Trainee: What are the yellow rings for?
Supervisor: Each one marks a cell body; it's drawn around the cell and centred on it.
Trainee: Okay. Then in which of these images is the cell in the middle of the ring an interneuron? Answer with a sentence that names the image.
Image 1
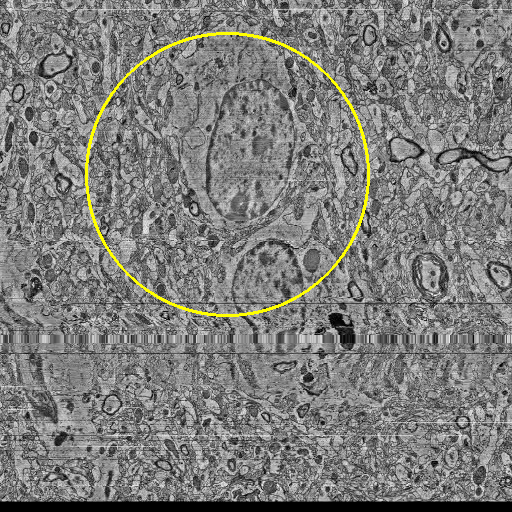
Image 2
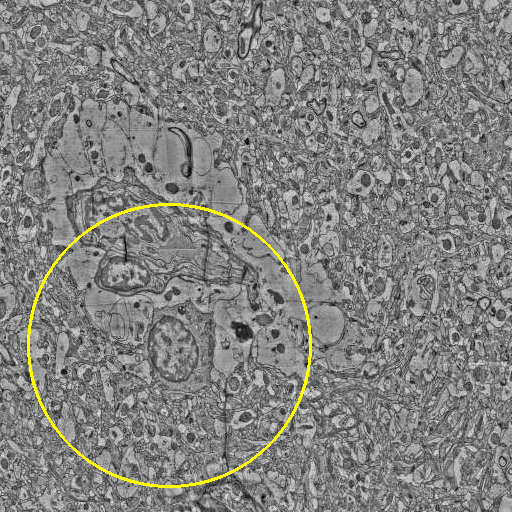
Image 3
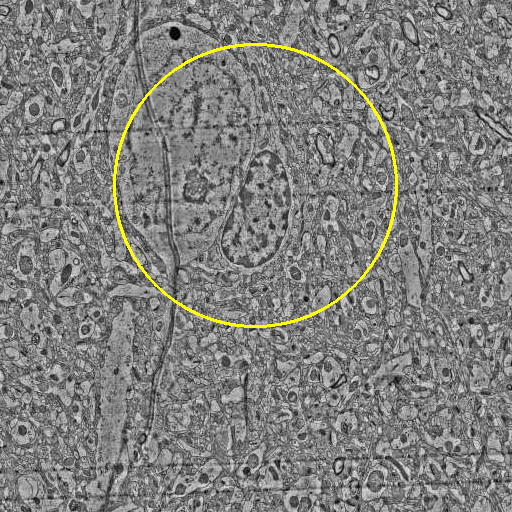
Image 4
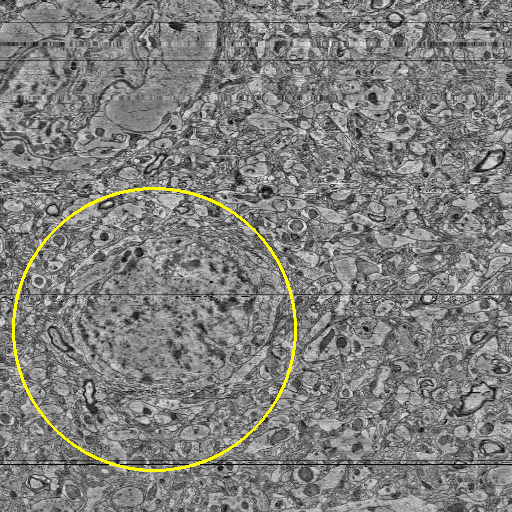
Image 4 has it in the middle of the ring.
